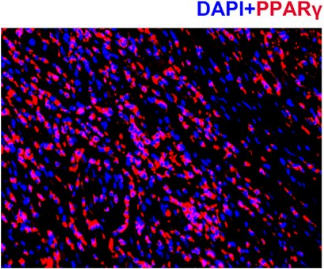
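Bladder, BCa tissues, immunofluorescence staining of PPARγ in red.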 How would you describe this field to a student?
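The nuclei are small and oval to elongated and run in loosely aligned streams instead of forming any orderly layer. Bright red staining sits in the cell bodies around and between many of the nuclei, giving a speckled red-and-blue pattern throughout the field.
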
